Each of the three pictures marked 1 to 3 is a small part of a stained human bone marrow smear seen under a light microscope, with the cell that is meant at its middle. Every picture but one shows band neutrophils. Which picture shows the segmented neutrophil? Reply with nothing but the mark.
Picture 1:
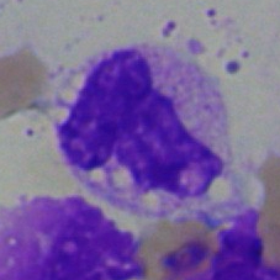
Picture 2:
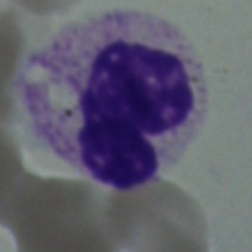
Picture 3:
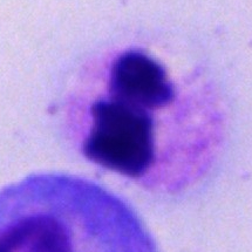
3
